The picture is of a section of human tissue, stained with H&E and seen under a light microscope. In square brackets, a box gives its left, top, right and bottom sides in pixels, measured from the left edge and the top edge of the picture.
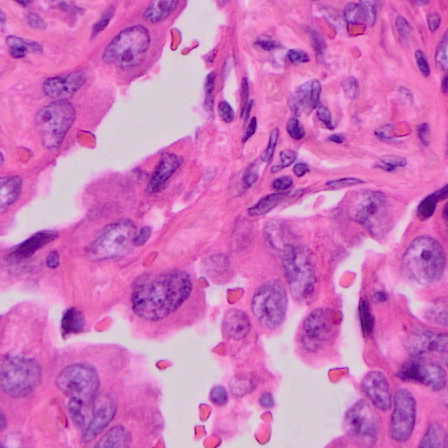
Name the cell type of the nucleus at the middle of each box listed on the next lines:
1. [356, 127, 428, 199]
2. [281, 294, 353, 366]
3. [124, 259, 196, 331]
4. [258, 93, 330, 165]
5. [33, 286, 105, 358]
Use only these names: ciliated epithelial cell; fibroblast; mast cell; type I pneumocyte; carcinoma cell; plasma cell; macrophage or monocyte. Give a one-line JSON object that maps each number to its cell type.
{"1": "fibroblast", "2": "carcinoma cell", "3": "carcinoma cell", "4": "plasma cell", "5": "carcinoma cell"}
